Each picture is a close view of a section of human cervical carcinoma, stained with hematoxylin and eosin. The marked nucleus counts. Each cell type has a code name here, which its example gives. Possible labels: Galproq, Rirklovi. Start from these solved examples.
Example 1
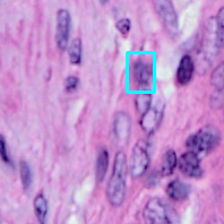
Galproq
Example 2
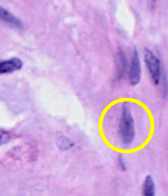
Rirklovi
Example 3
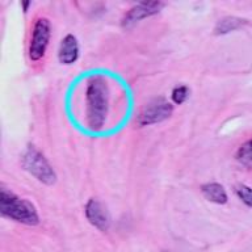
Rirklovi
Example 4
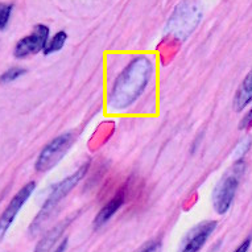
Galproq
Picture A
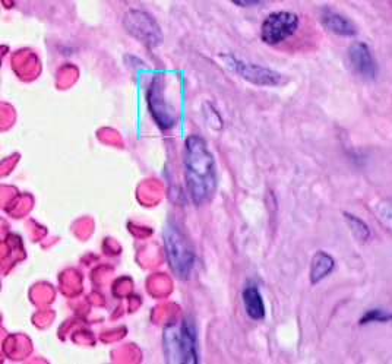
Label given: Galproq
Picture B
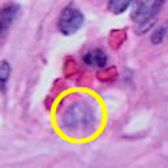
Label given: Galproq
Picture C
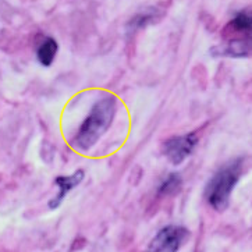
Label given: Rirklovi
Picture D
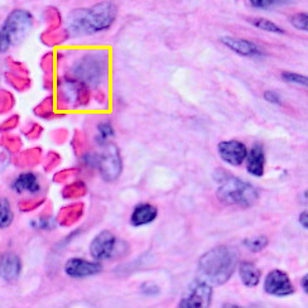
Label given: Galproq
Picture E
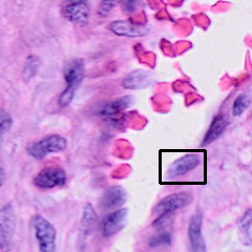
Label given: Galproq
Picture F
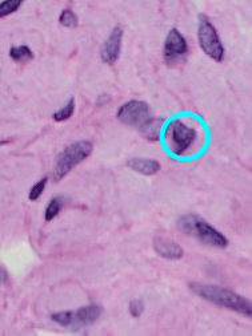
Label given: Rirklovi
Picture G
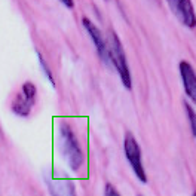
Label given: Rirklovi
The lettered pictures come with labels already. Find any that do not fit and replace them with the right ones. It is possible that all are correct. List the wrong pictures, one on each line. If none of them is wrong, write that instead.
Wrong: G (Rirklovi); correct: Galproq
